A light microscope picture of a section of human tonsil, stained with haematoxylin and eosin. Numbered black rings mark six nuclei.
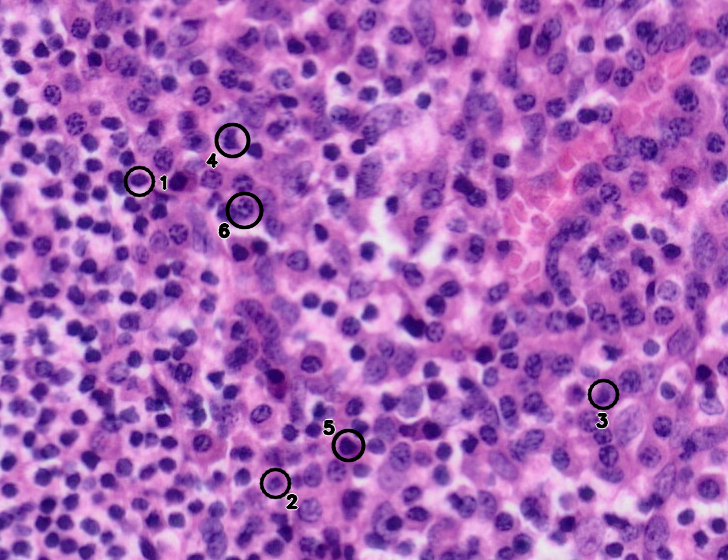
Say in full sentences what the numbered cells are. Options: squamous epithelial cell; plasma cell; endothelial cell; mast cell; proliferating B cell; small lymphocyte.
Cell 1 is a small lymphocyte, cell 2 is a plasma cell, cell 3 is a squamous epithelial cell, cell 4 is a plasma cell, cell 5 is a plasma cell and cell 6 is a plasma cell.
